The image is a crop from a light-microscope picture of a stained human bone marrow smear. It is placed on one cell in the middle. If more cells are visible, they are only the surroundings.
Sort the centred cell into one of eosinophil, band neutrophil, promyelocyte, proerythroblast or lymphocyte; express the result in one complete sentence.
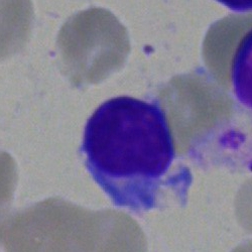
The middle of this crop holds a lymphocyte.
